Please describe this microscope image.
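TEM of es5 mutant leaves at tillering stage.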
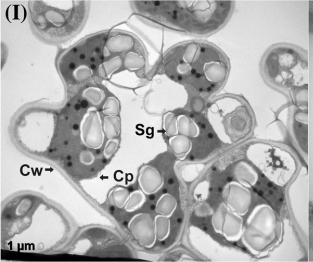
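Lobed leaf cells whose chloroplasts are swollen and rounded, filling much of the cell rather than lying as a thin layer along the walls. Each chloroplast holds several large pale, clear-edged sugar granules and many scattered small black round plastoglobuli. Internal membrane striation is hard to make out in the grey stroma.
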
